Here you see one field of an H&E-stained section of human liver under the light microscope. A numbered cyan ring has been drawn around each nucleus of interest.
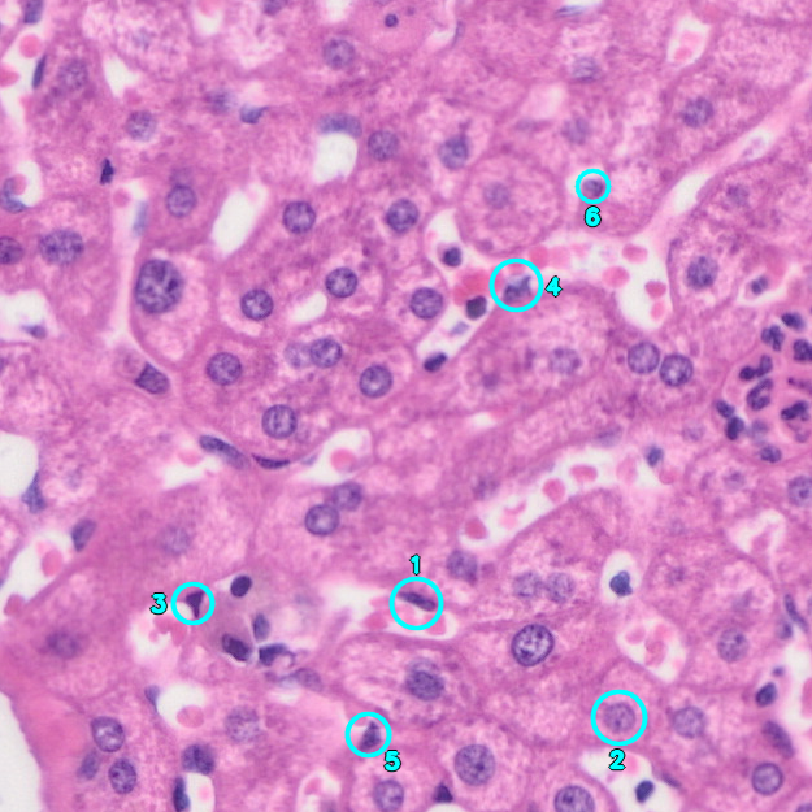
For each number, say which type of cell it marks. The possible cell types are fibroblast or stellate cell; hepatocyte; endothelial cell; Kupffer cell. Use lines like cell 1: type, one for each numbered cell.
cell 1: endothelial cell
cell 2: hepatocyte
cell 3: fibroblast or stellate cell
cell 4: endothelial cell
cell 5: endothelial cell
cell 6: Kupffer cell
